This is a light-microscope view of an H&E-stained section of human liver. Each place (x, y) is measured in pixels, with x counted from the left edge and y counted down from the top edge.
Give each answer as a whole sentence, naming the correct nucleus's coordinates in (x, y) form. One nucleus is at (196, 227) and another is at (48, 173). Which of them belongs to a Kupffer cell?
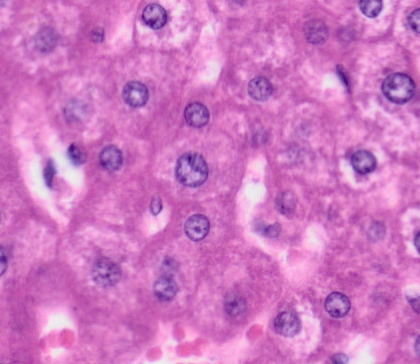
The nucleus situated at (48, 173) is the one belonging to a Kupffer cell.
